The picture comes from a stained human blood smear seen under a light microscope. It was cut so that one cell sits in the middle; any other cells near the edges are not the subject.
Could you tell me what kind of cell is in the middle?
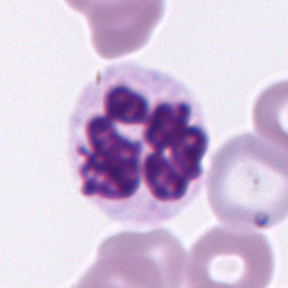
segmented neutrophil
